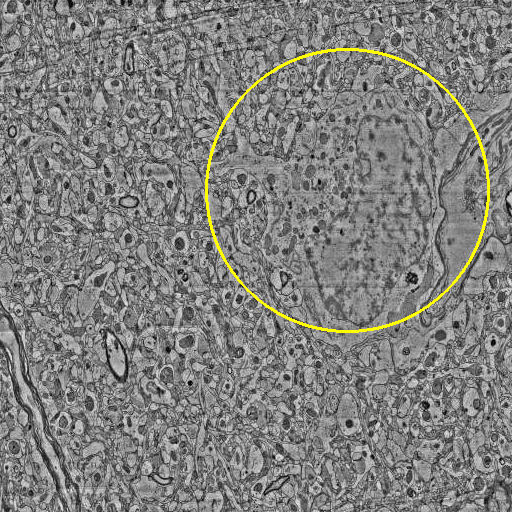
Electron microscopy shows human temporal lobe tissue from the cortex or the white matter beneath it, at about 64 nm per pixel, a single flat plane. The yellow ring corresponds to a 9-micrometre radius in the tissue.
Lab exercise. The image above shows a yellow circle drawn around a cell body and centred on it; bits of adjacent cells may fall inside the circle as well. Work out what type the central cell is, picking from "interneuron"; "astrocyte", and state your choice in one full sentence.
In the image above, the cell at the centre of the yellow circle is an interneuron.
